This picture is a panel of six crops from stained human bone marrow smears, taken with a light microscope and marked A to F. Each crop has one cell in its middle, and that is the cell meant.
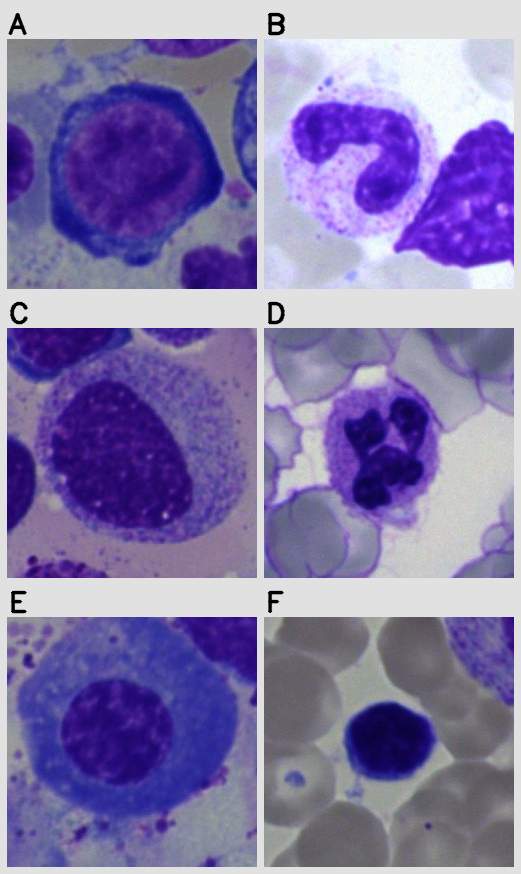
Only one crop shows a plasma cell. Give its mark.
E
